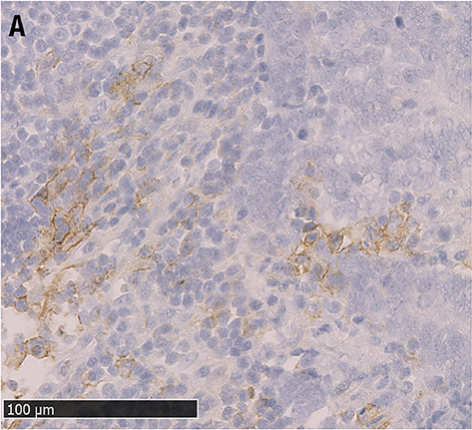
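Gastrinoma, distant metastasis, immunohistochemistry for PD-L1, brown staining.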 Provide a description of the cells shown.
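A diffuse sheet of tumor cells fills the field with little intervening stroma. The cells are small to medium sized, round, with round blue nuclei and scant pale cytoplasm, packed closely together. Fine brown staining outlines the membranes of scattered clusters of cells, especially at the left side and in small patches in the middle, while the greater part of the sheet remains unstained blue. The staining is thin and patchy, forming incomplete brown rims rather than solid fields of colour.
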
